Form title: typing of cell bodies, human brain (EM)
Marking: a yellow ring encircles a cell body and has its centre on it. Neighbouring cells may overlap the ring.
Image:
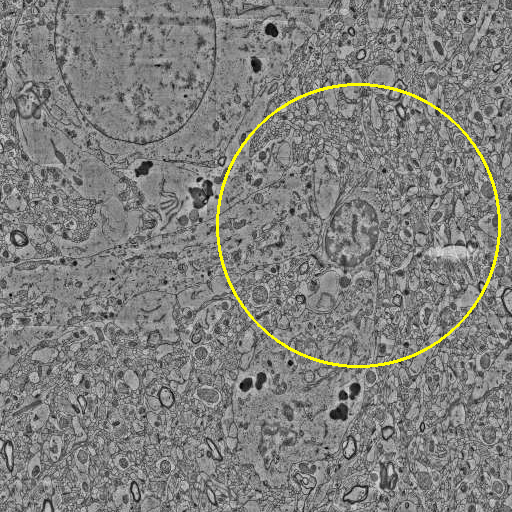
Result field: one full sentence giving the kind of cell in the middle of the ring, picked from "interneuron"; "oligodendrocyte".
In the picture, the ring is centred on an oligodendrocyte, whose cell body it encircles.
